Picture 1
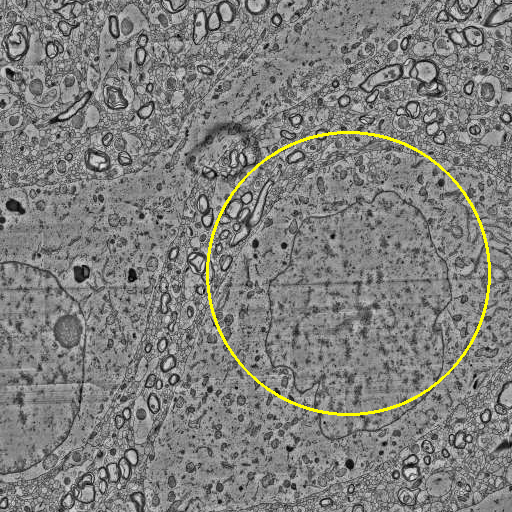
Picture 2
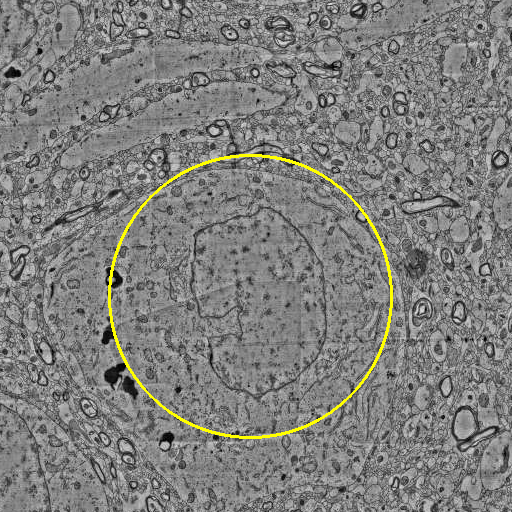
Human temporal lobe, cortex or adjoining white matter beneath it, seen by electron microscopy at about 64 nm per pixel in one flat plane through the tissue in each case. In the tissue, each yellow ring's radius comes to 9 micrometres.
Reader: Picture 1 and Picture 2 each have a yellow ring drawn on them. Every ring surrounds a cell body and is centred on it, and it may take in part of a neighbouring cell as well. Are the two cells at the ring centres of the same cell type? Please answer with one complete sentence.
Yes, both cells are of the same cell type.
